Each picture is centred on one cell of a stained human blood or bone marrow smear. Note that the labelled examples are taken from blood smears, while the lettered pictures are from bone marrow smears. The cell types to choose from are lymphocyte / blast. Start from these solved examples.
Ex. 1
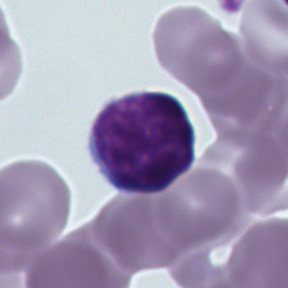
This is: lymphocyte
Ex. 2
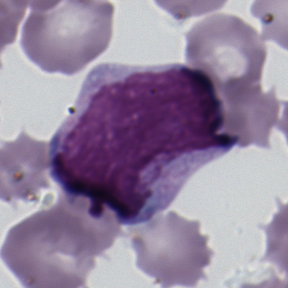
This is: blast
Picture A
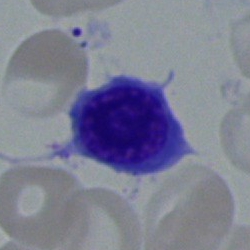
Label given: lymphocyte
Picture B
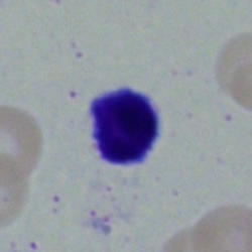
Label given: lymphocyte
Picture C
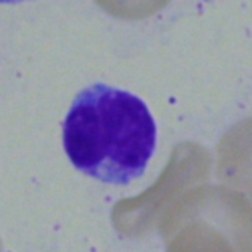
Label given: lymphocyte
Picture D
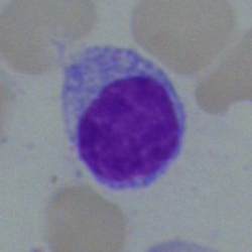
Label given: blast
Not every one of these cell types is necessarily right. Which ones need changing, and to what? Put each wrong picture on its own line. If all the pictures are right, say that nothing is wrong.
D is labelled blast; correct label: lymphocyte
